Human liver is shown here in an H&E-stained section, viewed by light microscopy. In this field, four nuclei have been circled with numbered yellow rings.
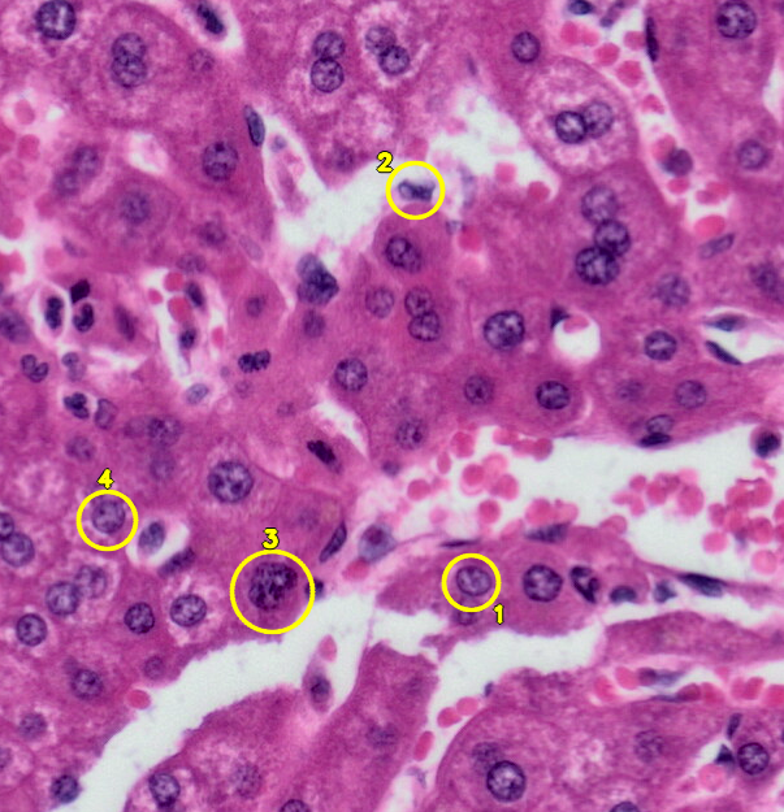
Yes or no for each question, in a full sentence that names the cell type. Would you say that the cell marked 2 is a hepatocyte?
No, the cell carrying number 2 is an endothelial cell, not a hepatocyte.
